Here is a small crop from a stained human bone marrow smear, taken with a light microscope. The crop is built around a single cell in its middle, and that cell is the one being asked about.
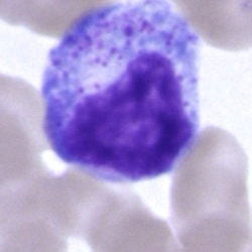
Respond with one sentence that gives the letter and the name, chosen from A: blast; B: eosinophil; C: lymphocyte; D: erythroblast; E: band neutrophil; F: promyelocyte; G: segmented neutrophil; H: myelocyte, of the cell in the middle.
The cell centered in the crop is a promyelocyte, making option F the correct pick.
